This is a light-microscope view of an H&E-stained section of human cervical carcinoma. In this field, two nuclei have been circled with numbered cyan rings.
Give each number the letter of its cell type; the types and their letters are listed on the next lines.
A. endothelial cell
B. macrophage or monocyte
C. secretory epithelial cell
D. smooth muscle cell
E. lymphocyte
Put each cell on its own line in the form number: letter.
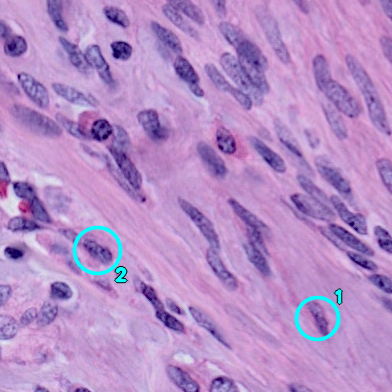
1: D
2: A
